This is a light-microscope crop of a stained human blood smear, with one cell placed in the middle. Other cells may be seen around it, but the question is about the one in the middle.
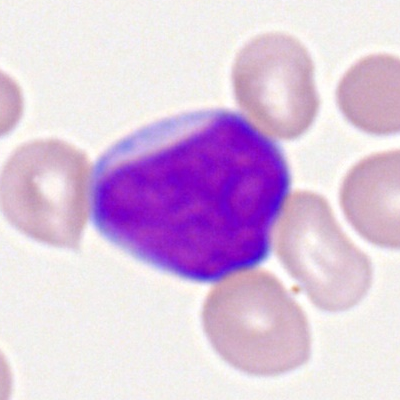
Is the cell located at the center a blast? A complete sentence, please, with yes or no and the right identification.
Yes, that is right: the middle cell is a blast.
